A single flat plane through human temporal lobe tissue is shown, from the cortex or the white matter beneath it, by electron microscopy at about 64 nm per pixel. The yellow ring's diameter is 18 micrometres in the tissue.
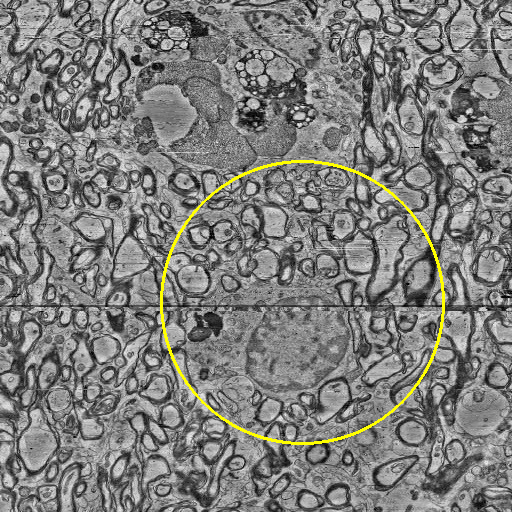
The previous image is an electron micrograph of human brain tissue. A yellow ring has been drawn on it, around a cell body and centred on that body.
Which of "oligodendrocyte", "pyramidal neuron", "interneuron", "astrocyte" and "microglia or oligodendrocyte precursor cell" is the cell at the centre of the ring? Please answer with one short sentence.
The cell body at the centre of the ring belongs to an oligodendrocyte.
